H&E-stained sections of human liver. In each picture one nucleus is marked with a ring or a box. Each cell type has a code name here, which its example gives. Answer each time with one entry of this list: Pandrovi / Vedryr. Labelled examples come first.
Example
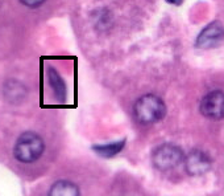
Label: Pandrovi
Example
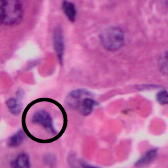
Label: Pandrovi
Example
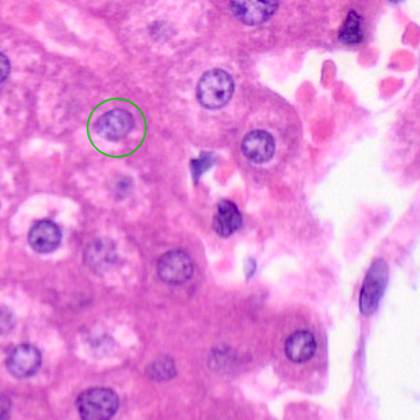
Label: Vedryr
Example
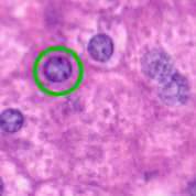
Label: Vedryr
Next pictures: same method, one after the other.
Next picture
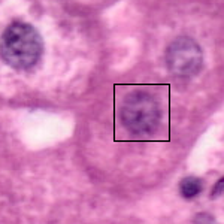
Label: Vedryr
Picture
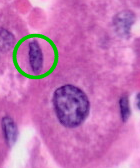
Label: Pandrovi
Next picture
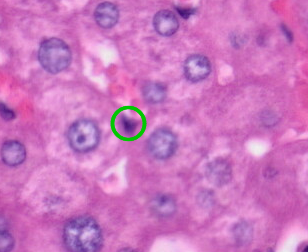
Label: Pandrovi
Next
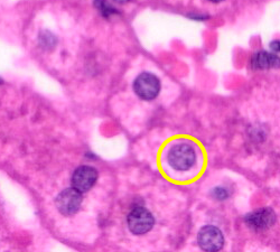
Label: Vedryr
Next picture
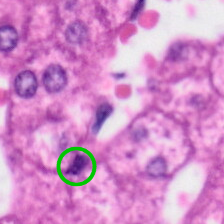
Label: Pandrovi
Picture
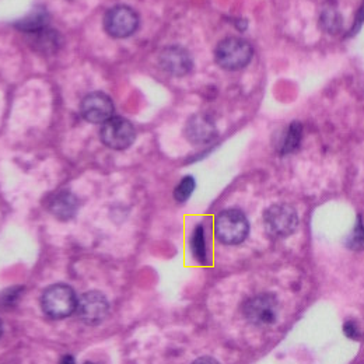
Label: Pandrovi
